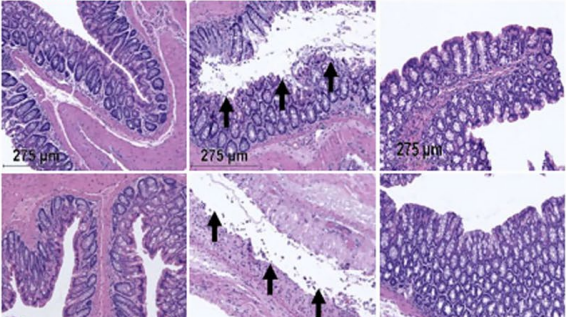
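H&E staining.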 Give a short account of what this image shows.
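These are sections of colon wall stained purple and pink, arranged in three columns of two images each. In the outer two columns the mucosa consists of closely packed tubular crypts. The crypts are lined by columnar epithelium rich in pale goblet cells and rest on a pink muscular layer. In the middle column the surface epithelium is disrupted, and crypts are lost or distorted over stretches of the mucosa, with pale loose material along the lumen. Black arrows point to these damaged areas.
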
